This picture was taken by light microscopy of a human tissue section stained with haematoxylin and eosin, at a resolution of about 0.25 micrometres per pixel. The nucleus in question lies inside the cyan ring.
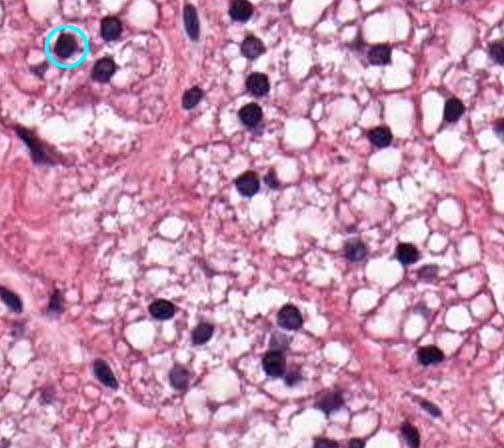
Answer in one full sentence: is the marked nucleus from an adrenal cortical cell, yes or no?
Yes, an adrenal cortical cell is the owner of the marked nucleus.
